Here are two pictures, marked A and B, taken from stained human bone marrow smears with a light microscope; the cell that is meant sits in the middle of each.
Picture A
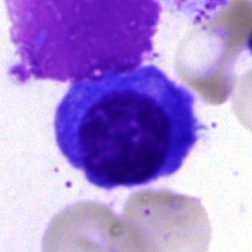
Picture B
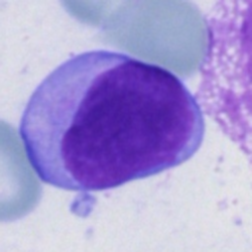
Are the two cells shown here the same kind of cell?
no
